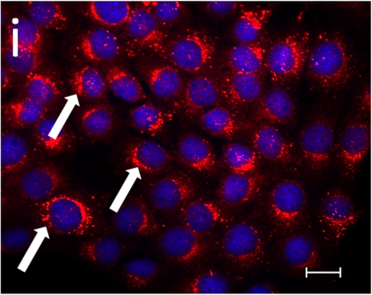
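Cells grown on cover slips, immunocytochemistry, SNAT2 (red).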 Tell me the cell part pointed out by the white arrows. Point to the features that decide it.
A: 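Small discrete red dots cluster in the cytoplasm around blue nuclei. The arrows point at dense red dots at the edge of a nucleus. The answer: perinuclear puncta.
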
